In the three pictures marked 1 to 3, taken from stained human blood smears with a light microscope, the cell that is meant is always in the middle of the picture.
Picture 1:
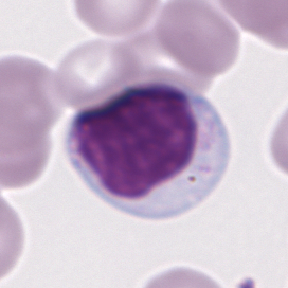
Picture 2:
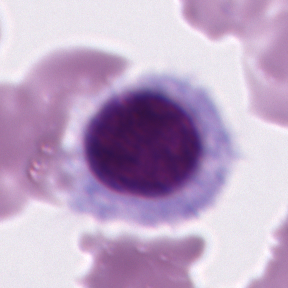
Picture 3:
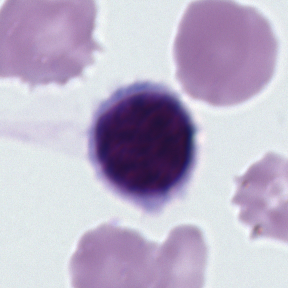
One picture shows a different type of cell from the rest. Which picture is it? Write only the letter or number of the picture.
1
